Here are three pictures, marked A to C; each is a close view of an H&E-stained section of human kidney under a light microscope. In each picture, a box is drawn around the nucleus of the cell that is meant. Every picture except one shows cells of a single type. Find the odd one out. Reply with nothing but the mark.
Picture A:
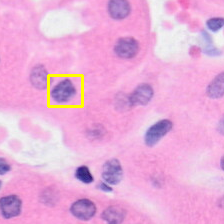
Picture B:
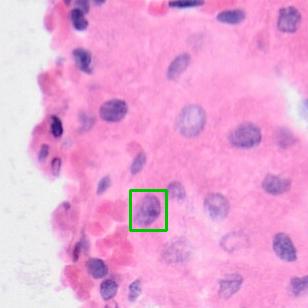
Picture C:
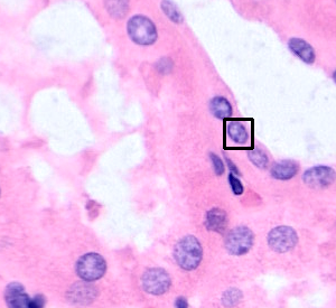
C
